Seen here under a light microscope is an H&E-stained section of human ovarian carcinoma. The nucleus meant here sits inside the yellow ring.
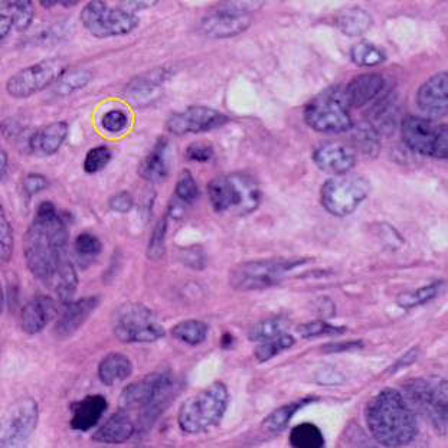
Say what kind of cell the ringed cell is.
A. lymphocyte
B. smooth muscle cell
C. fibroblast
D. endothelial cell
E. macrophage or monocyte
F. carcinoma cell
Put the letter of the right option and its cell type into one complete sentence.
Option A is the right choice, for the ringed cell is a lymphocyte.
